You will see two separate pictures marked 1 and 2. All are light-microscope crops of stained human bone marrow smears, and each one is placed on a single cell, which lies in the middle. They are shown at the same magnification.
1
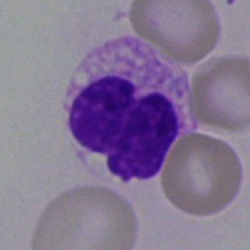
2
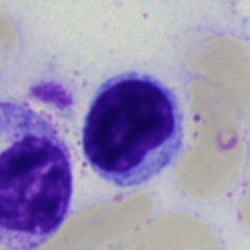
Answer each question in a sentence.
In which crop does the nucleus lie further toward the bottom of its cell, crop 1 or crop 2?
In crop 1 the nucleus is shifted more toward the bottom.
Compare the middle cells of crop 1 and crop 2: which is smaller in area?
The cell in crop 2 is smaller; the one in crop 1 has about 1.5 times its area.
